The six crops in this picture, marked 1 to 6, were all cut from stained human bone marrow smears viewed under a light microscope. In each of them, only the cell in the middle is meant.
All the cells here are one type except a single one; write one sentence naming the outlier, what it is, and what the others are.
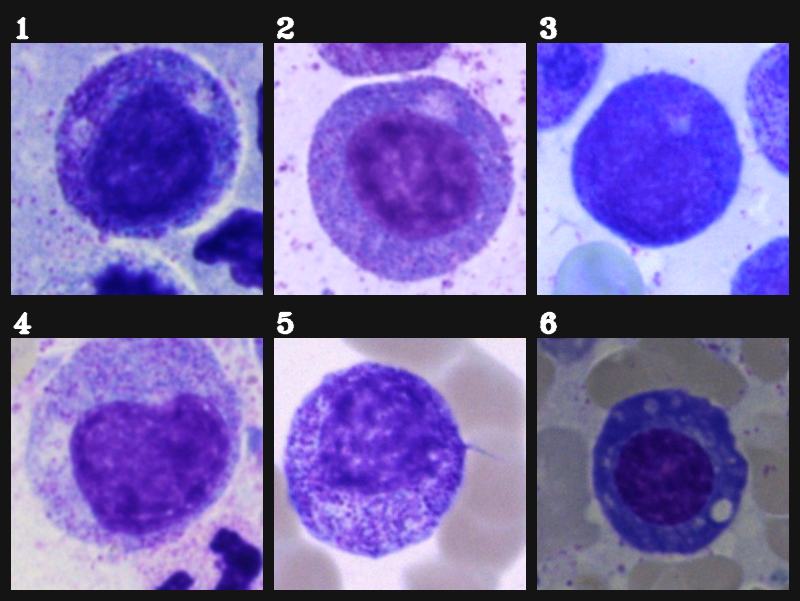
Crop 6 is the odd one out, being a plasma cell, while all the other crops show promyelocytes.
